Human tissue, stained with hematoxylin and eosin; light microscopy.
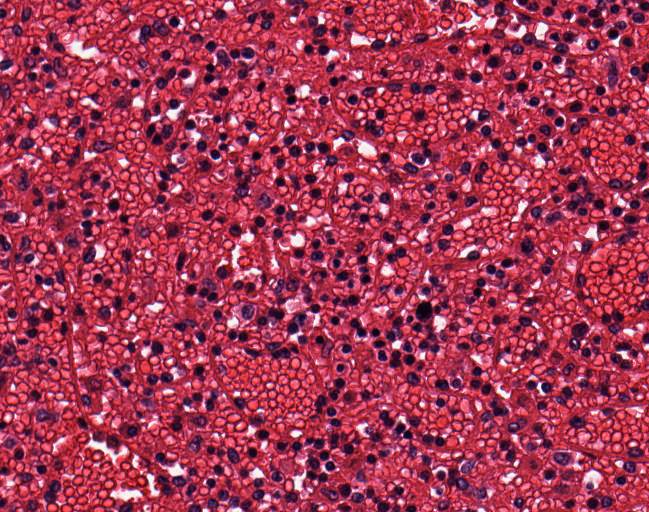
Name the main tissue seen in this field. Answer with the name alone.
red pulp of the spleen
